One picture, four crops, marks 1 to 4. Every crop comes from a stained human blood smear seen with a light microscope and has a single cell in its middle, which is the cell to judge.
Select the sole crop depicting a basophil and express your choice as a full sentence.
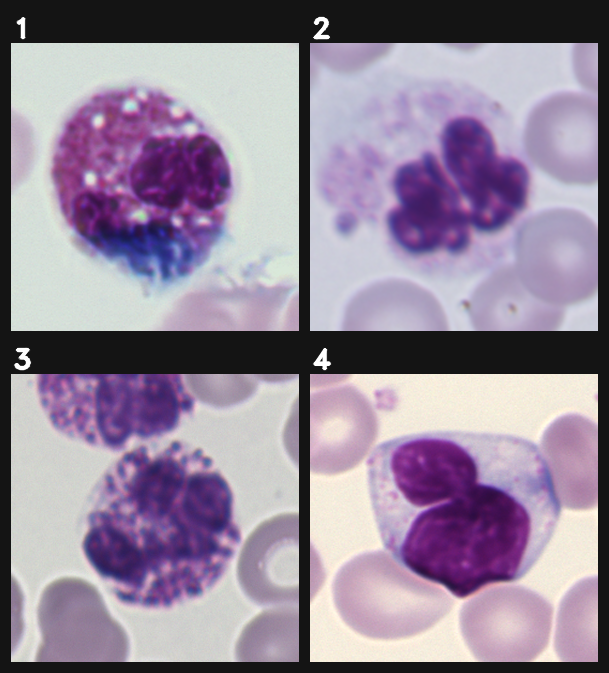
The crop in which a basophil is shown is crop 3.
